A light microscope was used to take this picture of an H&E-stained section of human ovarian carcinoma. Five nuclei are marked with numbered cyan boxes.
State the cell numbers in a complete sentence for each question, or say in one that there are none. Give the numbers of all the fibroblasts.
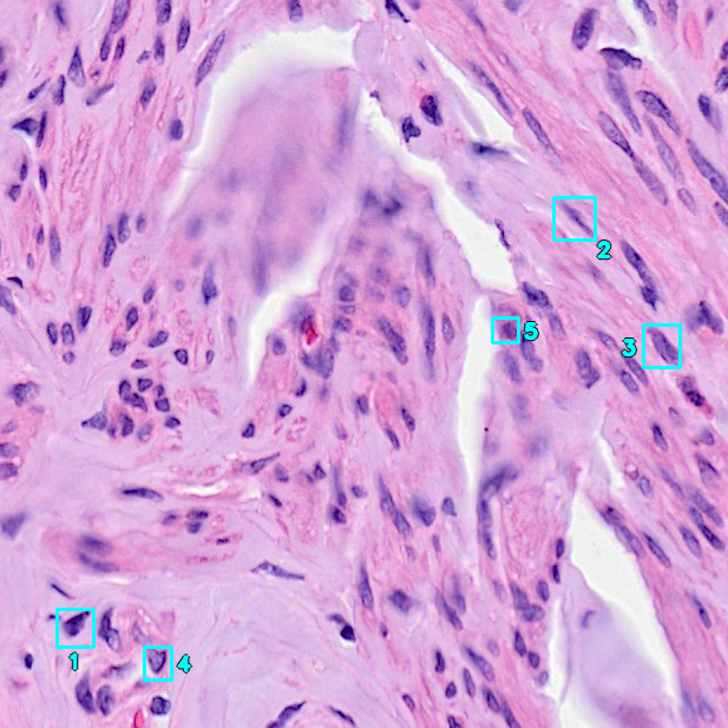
Only number 1 is a fibroblast; none of the others are.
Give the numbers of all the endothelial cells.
Cell 4 represents an endothelial cell, and no other numbered cell does.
